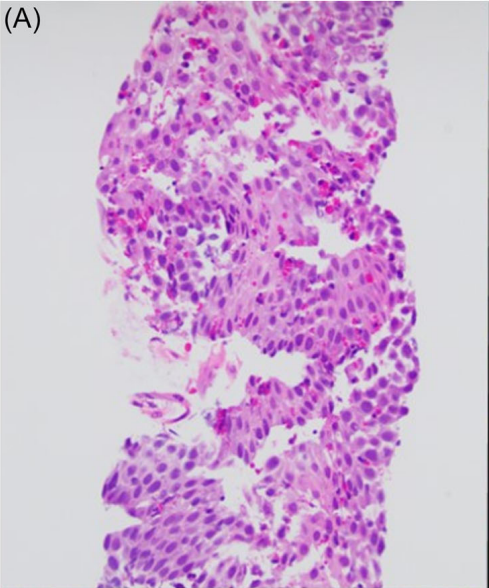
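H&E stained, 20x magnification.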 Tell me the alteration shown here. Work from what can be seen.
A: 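Spongiosis. Wide clear gaps separate the epithelial cells. The epithelium looks loosened and fragmented.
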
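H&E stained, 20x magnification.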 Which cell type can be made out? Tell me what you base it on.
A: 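Numerous cells with bright red-pink granular cytoplasm are scattered within the epithelium. Bright red granular material lies free between epithelial cells. That points to this answer: intraepithelial eosinophils.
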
